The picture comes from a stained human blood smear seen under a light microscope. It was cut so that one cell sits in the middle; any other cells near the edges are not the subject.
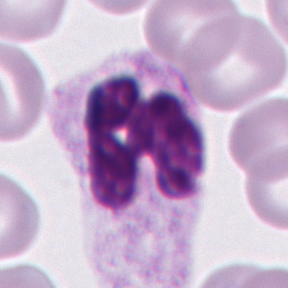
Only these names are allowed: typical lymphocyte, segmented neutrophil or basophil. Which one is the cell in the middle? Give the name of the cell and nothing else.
segmented neutrophil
